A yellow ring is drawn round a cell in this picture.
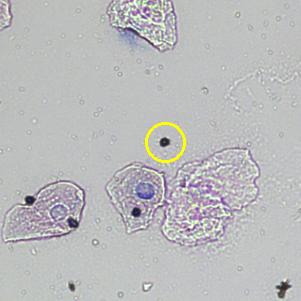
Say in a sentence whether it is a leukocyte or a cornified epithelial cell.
The cell in the ring is a leukocyte.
